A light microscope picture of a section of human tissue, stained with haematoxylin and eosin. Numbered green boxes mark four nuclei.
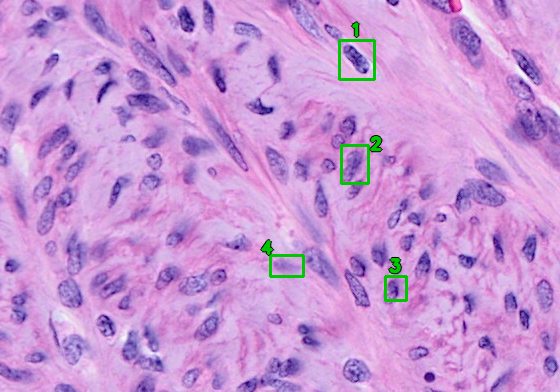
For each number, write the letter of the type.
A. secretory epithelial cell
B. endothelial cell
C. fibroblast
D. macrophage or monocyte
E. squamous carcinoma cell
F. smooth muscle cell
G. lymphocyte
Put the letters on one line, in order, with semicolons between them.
G; F; F; F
